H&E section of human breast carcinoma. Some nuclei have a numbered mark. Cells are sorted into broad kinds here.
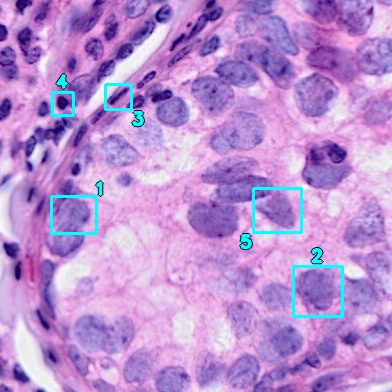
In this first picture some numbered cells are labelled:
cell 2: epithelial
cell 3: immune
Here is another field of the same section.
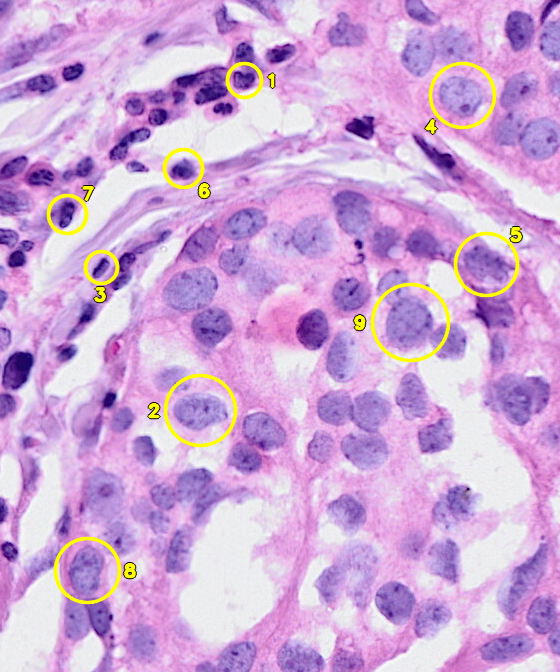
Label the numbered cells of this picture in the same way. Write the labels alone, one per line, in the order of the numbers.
immune
epithelial
immune
epithelial
epithelial
immune
immune
epithelial
epithelial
